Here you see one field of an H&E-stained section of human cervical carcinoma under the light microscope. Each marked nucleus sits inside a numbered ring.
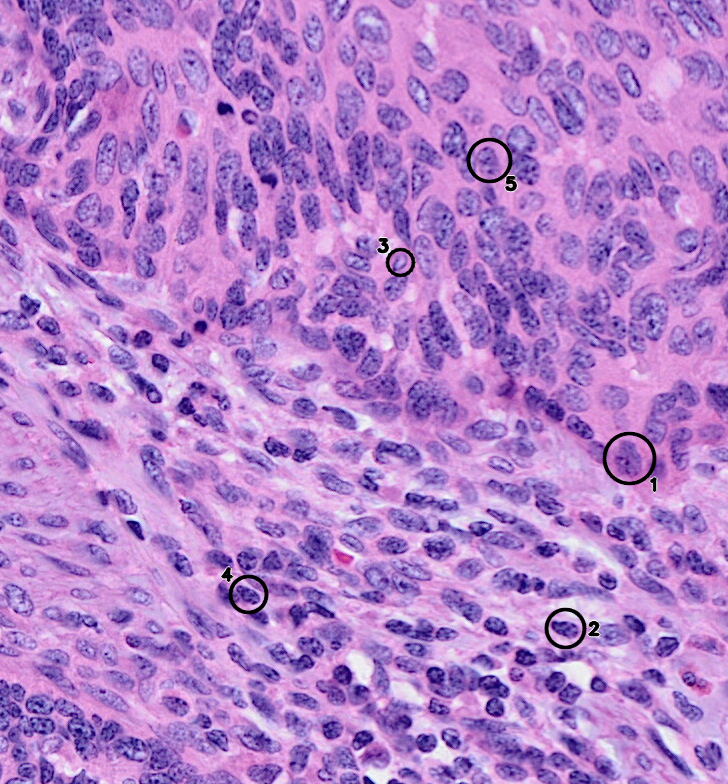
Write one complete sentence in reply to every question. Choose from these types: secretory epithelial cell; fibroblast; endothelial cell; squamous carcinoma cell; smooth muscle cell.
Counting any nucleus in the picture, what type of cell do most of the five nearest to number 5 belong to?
Around number 5, most of the five nearest nuclei are those of squamous carcinoma cells.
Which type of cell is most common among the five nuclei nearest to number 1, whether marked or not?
Most of the five nuclei nearest to number 1 are those of squamous carcinoma cells.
